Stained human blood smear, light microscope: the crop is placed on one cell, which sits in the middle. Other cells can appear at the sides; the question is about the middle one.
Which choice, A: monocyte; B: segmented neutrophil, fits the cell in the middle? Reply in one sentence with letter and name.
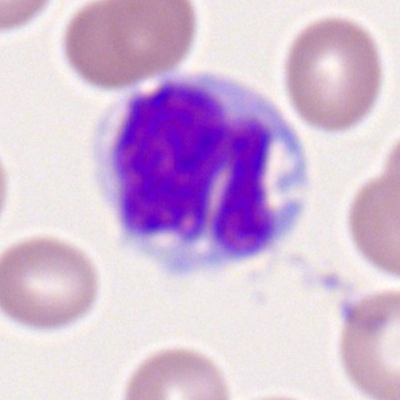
In the centre of the crop there is a monocyte, making option A correct.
